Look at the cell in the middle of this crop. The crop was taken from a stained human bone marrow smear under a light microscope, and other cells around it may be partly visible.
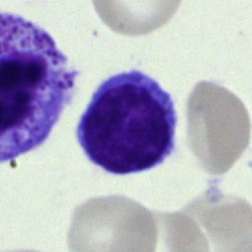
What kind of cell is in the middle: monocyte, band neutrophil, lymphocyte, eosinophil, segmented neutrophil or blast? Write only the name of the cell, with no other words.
lymphocyte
